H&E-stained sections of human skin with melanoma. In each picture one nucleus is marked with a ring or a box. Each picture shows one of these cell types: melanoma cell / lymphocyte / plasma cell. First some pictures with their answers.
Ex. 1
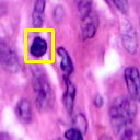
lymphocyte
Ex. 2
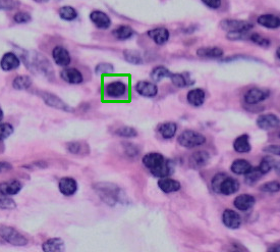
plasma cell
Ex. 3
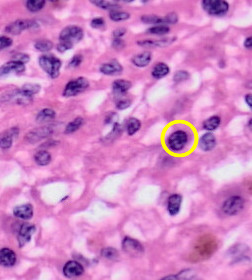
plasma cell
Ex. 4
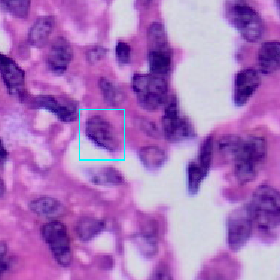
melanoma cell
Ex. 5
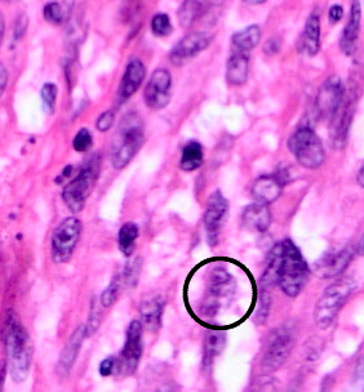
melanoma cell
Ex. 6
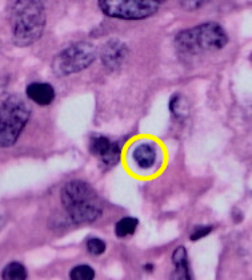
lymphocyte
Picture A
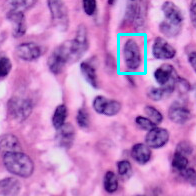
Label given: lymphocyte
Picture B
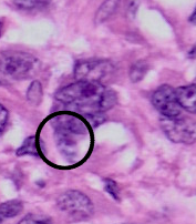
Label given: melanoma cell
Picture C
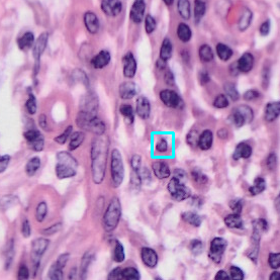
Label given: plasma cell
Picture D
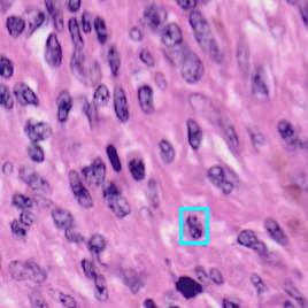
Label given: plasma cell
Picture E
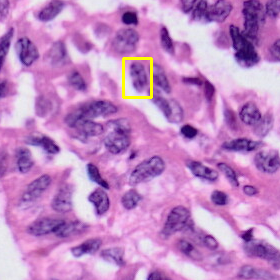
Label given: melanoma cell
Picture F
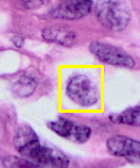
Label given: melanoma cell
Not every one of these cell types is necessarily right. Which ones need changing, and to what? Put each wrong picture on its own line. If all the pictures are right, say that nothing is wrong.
D should be lymphocyte, not plasma cell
